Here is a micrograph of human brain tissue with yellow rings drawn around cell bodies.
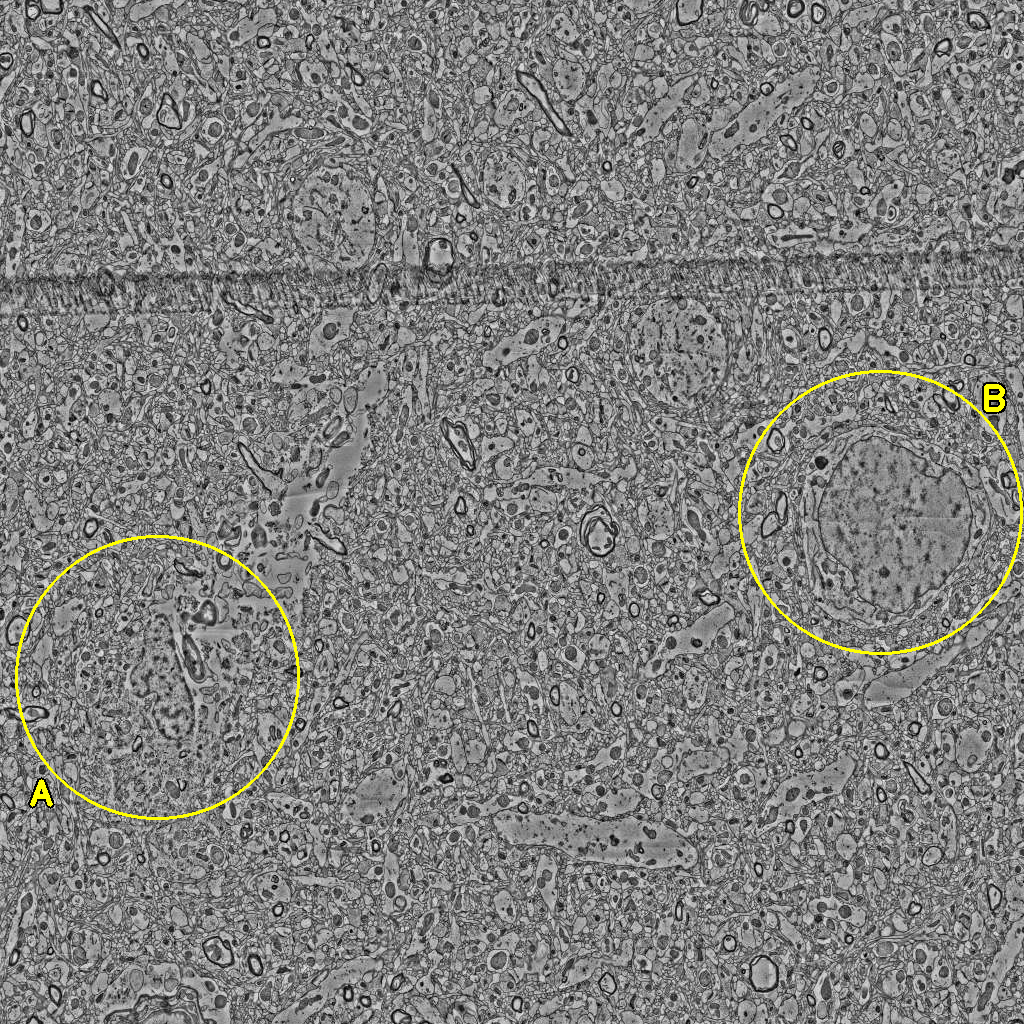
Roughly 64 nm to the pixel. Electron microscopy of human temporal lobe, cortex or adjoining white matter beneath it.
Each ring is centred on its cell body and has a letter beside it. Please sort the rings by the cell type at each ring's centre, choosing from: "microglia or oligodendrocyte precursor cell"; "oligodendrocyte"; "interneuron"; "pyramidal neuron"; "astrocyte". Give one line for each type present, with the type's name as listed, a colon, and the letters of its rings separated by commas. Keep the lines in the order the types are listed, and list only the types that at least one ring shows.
microglia or oligodendrocyte precursor cell: A
interneuron: B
